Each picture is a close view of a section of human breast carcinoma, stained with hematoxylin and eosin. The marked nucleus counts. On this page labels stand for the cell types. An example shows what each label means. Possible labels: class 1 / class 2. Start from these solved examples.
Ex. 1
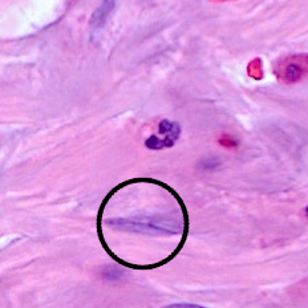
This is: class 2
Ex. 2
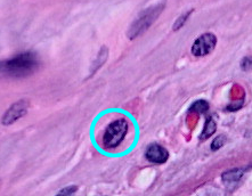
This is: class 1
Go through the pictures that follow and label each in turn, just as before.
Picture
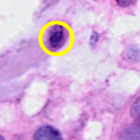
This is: class 1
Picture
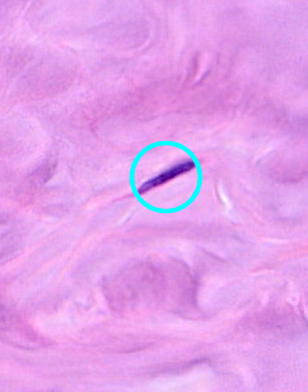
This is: class 2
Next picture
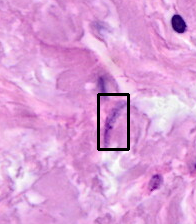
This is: class 2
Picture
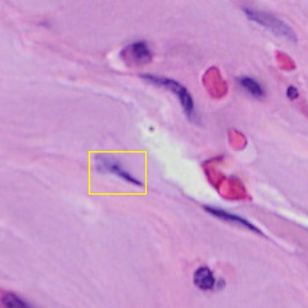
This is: class 2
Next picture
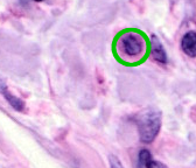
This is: class 1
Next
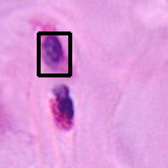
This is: class 1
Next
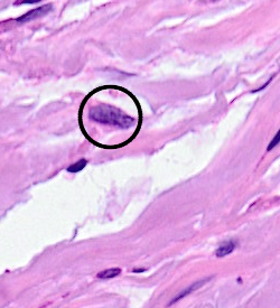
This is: class 2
